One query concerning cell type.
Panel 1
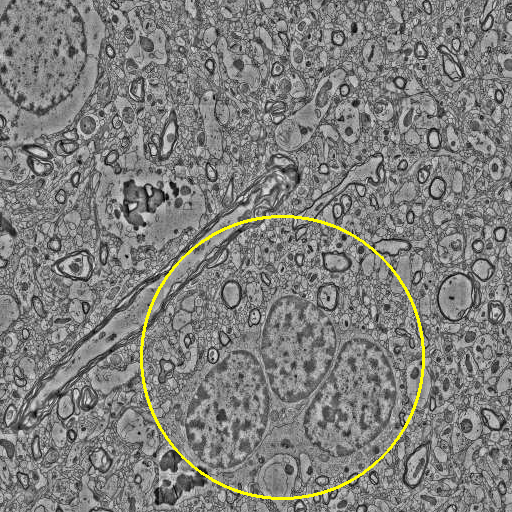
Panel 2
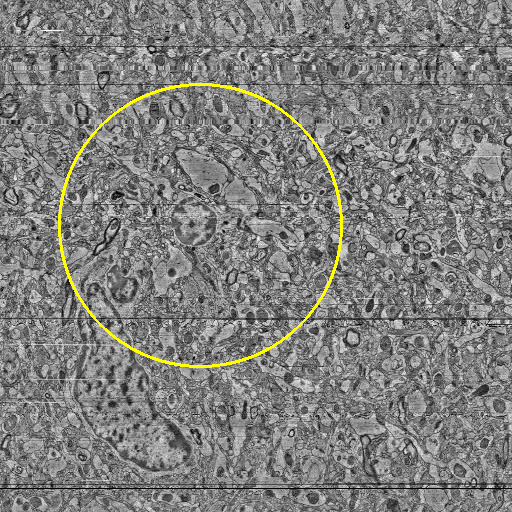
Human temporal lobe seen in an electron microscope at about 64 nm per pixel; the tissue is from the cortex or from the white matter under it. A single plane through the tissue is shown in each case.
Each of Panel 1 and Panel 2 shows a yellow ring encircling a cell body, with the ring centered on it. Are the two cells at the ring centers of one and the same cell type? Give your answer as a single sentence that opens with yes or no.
No, the cell centered in Panel 1 and the one in Panel 2 are of two types.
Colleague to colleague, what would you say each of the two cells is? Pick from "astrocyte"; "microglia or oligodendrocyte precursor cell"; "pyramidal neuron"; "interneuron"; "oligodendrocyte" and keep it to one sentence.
The cell in the first picture is an oligodendrocyte; the second picture's cell is a microglial cell or oligodendrocyte precursor cell.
